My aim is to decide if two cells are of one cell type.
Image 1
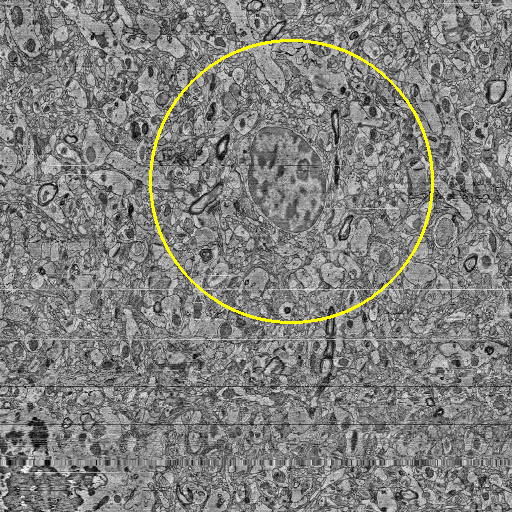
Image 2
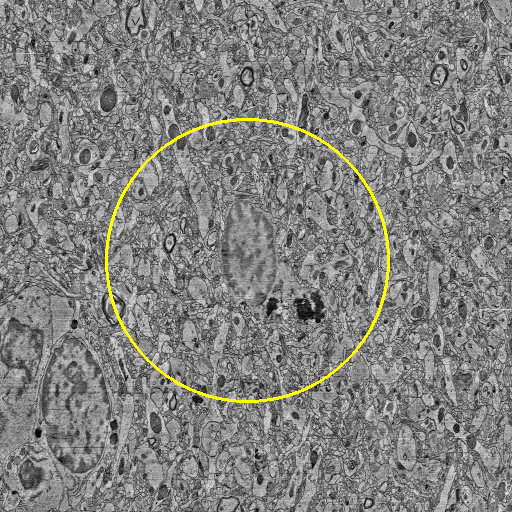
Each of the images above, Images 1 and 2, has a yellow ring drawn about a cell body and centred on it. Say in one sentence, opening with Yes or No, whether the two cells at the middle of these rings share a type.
No, in Images 1 and 2 the cells at the middle of the rings fall into two types.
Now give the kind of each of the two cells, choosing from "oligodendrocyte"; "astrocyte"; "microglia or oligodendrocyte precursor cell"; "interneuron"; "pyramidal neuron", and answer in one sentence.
The cell in the first picture is a microglial cell or oligodendrocyte precursor cell, and the cell in the second is an oligodendrocyte.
